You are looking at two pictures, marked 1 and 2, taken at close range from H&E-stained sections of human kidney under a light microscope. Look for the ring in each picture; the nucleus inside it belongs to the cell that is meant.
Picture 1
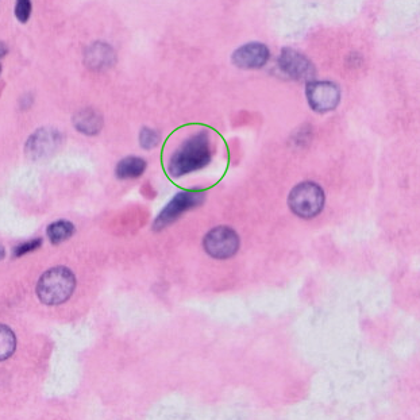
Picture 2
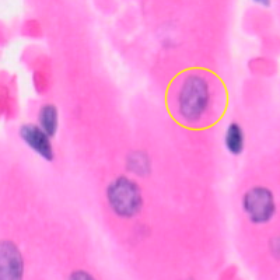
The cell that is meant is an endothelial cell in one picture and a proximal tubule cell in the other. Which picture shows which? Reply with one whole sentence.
Picture 1 shows an endothelial cell and picture 2 shows a proximal tubule cell.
